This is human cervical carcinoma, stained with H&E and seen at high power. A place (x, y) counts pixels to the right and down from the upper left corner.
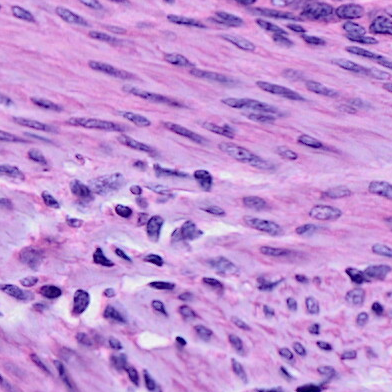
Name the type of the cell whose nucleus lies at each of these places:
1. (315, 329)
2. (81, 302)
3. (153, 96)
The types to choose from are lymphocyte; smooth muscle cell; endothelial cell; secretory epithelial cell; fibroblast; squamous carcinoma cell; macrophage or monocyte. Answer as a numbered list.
1. smooth muscle cell
2. lymphocyte
3. smooth muscle cell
